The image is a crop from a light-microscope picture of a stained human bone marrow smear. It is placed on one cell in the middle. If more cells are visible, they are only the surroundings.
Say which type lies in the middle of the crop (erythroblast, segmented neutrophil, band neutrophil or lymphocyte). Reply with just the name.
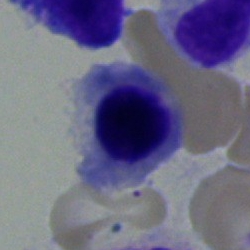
erythroblast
